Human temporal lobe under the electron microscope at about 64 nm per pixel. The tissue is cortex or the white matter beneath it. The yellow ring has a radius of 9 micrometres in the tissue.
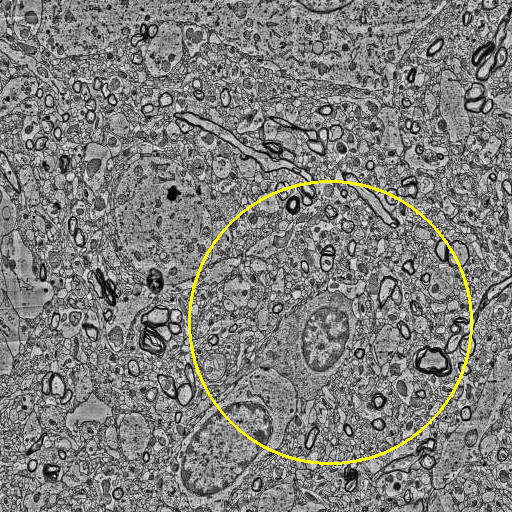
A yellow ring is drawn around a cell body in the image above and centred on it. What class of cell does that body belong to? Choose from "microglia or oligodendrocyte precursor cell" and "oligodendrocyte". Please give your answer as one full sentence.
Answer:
The yellow ring above is centred on the cell body of an oligodendrocyte.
